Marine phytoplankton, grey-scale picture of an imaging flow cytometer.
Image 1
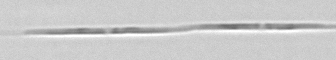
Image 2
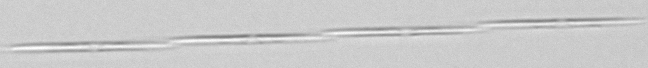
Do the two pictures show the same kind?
Yes, both are Pseudo-nitzschia.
